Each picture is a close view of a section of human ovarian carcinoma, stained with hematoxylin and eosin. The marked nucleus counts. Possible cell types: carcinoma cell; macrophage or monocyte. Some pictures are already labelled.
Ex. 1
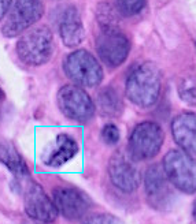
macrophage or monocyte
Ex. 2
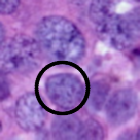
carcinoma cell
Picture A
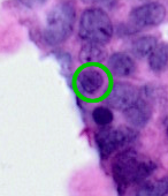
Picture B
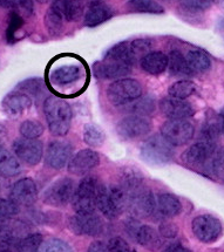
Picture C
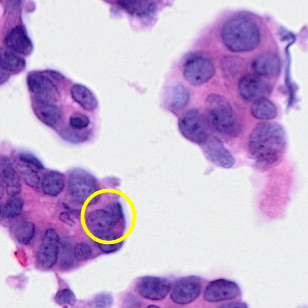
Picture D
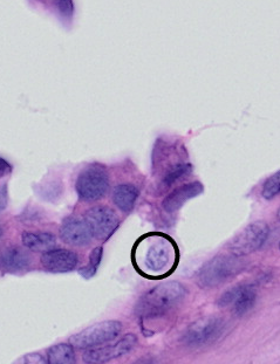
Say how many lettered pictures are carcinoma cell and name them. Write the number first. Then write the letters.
Count: 2 (A, C)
